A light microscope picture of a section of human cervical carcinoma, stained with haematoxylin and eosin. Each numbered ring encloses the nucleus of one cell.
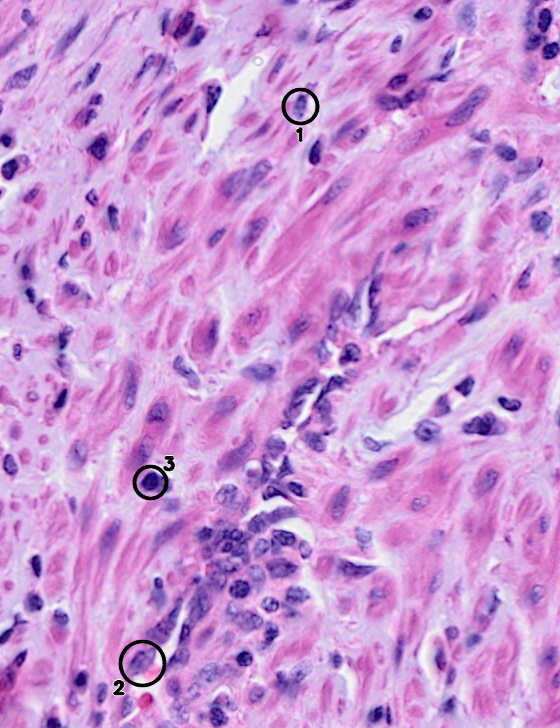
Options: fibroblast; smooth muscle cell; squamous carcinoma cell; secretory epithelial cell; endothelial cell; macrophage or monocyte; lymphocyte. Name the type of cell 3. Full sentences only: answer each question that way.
Marked with the number 3, this cell is a lymphocyte.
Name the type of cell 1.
Numbered cell 1 is a lymphocyte in this tissue section.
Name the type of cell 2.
Here, the cell given the number 2 is an endothelial cell.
